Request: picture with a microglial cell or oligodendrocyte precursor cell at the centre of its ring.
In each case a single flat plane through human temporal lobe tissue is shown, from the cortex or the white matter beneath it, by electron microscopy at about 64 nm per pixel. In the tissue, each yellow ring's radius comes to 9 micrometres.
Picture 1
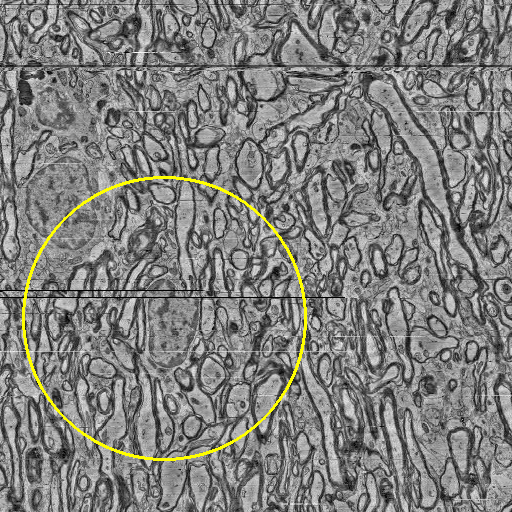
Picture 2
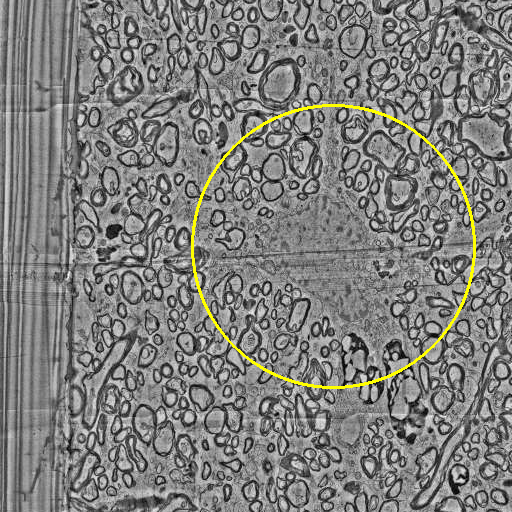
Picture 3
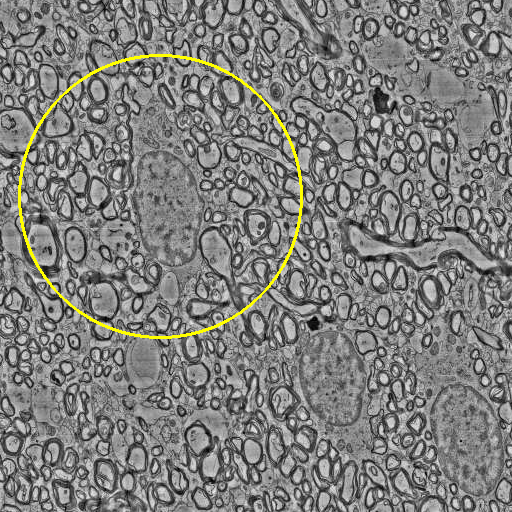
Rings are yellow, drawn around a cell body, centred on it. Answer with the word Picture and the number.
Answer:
Picture 1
